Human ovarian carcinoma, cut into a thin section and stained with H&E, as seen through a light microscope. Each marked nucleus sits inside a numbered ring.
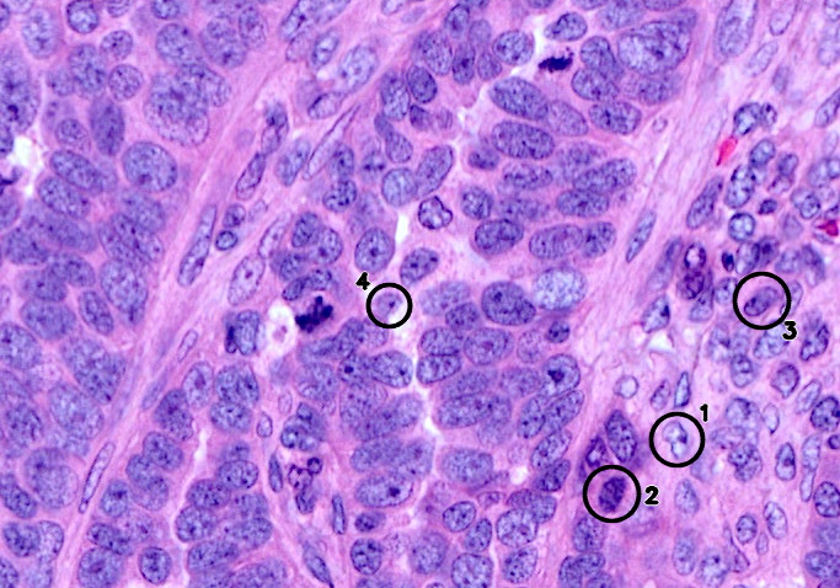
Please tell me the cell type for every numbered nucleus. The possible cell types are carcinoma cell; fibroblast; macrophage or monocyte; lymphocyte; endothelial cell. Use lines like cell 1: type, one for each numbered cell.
cell 1: fibroblast
cell 2: carcinoma cell
cell 3: endothelial cell
cell 4: macrophage or monocyte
